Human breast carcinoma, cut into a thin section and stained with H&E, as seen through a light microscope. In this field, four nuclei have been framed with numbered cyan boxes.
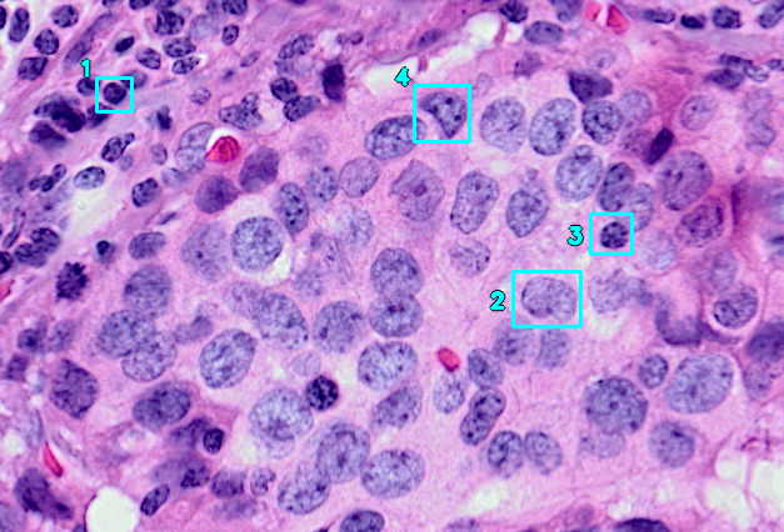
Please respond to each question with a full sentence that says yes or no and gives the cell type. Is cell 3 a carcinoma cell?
No, cell number 3 is a lymphocyte; it is not a carcinoma cell.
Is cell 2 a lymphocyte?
No, not a lymphocyte: the cell with number 2 is a carcinoma cell.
